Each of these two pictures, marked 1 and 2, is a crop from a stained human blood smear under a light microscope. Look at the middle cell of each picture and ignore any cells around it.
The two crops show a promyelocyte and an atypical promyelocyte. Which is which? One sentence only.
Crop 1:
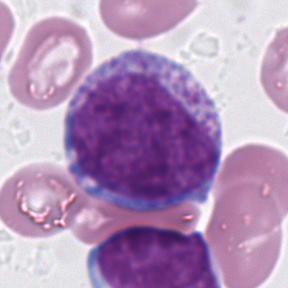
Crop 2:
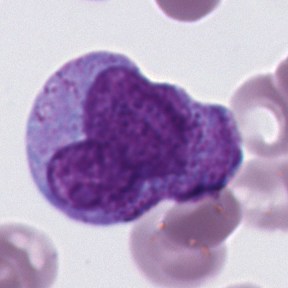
There is a promyelocyte in crop 1 and an atypical promyelocyte in crop 2.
